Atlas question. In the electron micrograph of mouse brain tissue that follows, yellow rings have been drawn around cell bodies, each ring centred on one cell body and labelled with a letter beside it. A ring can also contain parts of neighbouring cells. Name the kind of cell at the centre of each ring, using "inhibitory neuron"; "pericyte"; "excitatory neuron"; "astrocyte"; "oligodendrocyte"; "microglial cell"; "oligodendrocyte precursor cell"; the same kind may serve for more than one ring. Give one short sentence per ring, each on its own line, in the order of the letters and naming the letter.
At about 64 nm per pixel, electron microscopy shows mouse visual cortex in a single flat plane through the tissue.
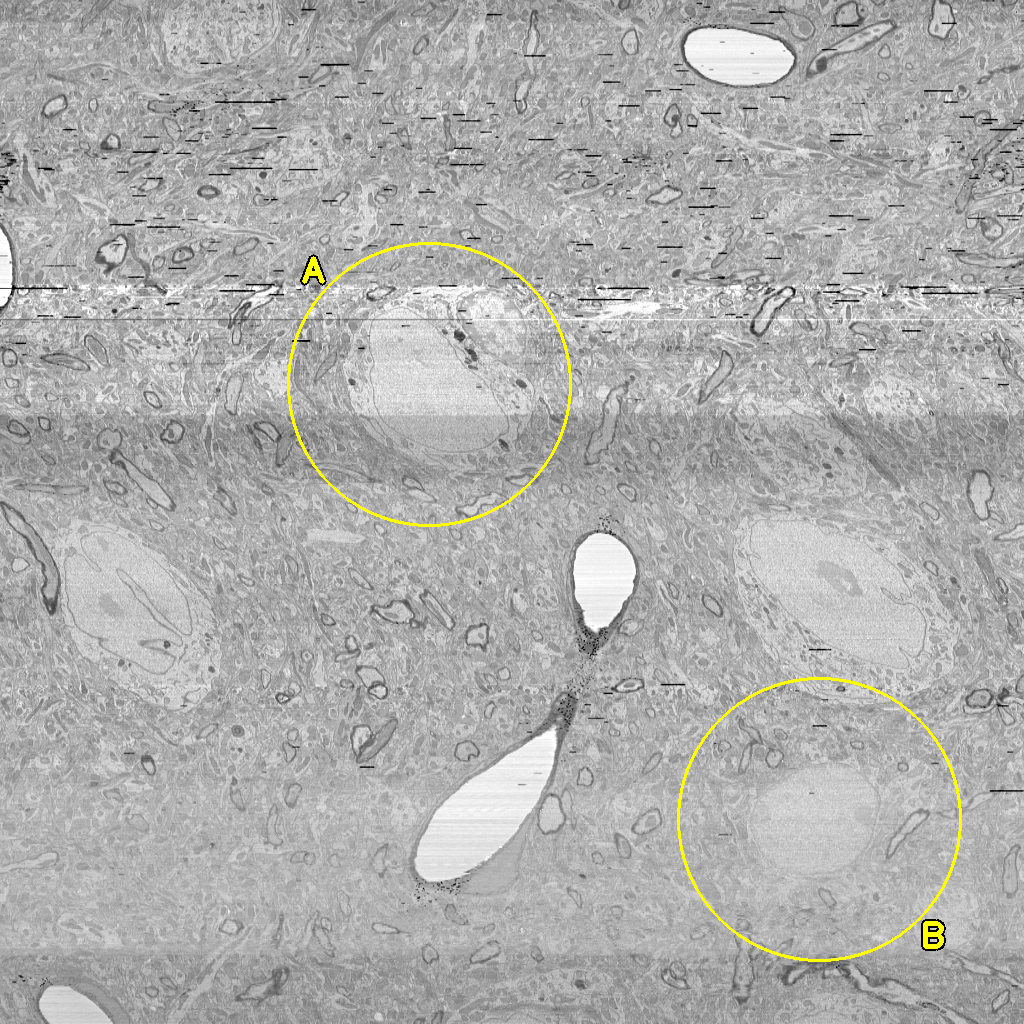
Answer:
For ring A, the cell at the centre is an excitatory neuron.
For ring B, the cell at the centre is an astrocyte.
